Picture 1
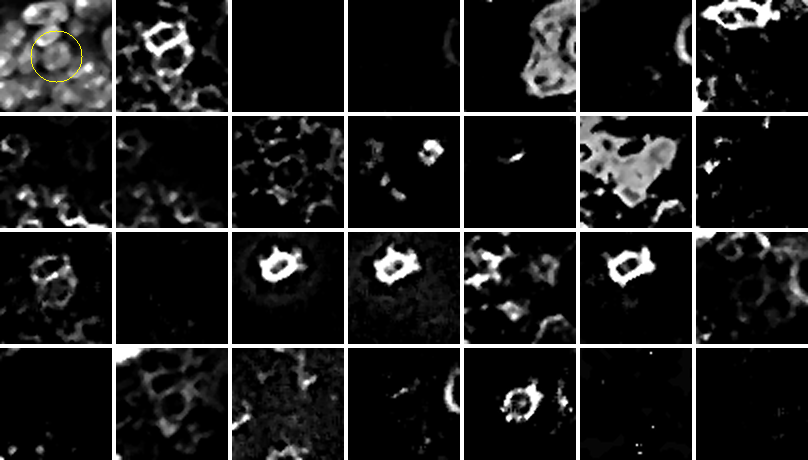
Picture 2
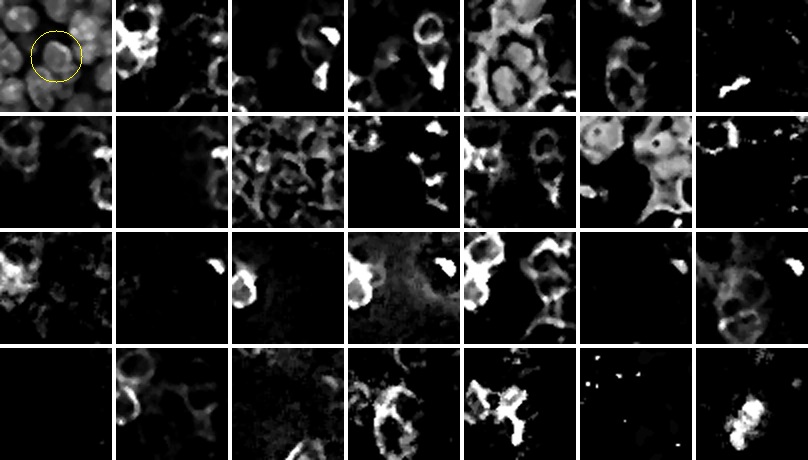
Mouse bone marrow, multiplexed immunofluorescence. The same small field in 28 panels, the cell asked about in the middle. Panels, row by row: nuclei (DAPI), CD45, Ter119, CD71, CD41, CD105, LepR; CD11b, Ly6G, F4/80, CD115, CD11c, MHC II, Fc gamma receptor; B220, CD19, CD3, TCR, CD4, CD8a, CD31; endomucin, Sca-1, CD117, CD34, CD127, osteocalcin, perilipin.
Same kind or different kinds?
Same: common lymphoid progenitors.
